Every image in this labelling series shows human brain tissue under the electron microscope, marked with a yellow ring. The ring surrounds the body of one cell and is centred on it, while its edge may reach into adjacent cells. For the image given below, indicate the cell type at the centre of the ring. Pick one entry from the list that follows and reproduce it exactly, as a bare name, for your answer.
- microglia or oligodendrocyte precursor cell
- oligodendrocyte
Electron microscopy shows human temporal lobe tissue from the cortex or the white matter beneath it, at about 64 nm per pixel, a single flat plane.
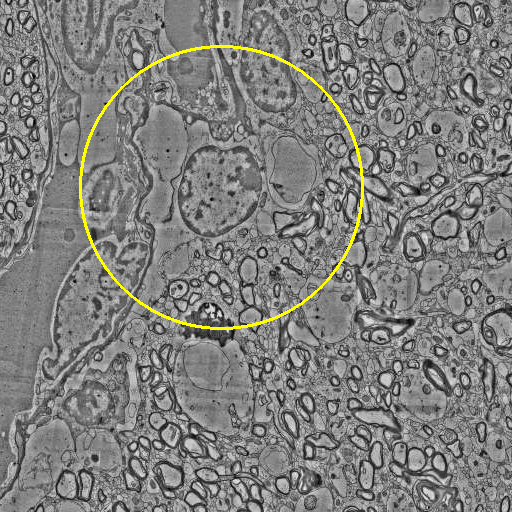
microglia or oligodendrocyte precursor cell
